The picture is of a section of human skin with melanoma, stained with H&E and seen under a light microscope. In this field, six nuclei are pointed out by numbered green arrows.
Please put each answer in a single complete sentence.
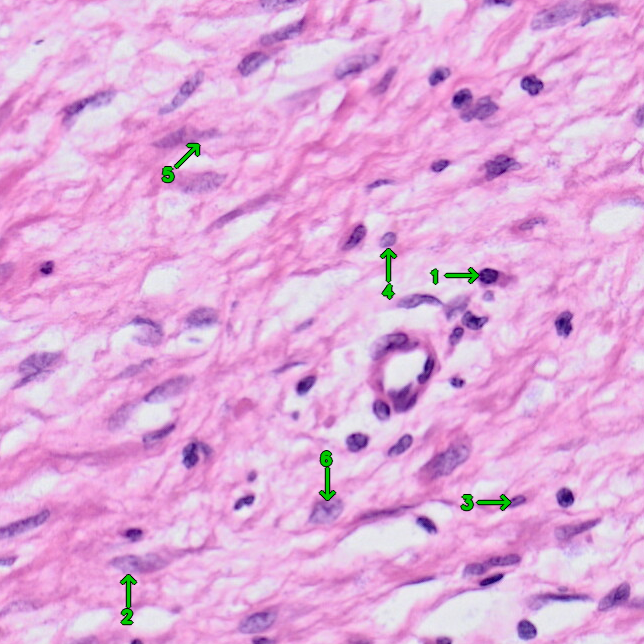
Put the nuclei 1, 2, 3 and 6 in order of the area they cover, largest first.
From largest to smallest, the order is 6, 2, 1, 3.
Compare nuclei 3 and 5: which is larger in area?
Of the two, number 5 is bigger and takes up about 2 times the area of number 3.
